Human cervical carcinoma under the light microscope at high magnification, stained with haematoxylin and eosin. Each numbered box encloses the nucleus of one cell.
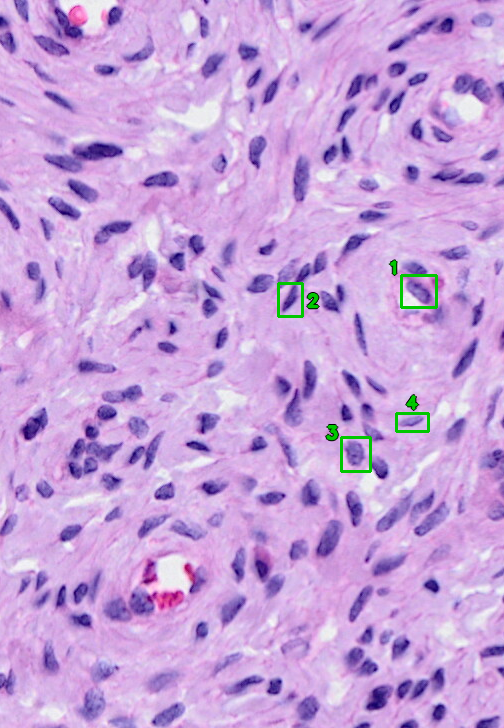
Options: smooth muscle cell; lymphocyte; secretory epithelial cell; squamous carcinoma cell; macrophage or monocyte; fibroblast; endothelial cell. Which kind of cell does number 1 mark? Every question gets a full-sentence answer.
The cell identified by number 1 is an endothelial cell.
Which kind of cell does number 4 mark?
In this section, the cell numbered 4 is a fibroblast.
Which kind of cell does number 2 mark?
The cell given label 2 is a fibroblast.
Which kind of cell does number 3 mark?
Here the cell numbered 3 is a fibroblast.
